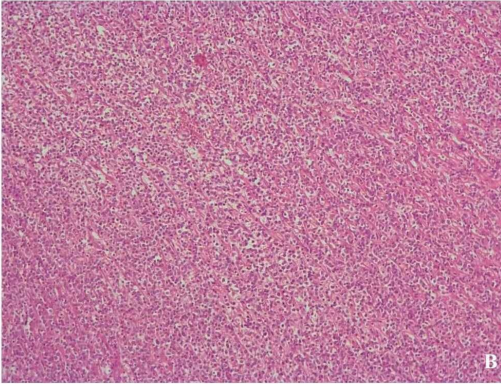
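A uniform, highly cellular sheet covers the whole field at medium magnification. Numerous small dark purple nuclei are spread evenly among pink stroma, without lobules, fascicles or other clear pattern. Thin pink fibrous strands weave between the cells, and small clear clefts are scattered throughout. The picture is that of spindle cells densely arranged on a collagen background with no definite pattern.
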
